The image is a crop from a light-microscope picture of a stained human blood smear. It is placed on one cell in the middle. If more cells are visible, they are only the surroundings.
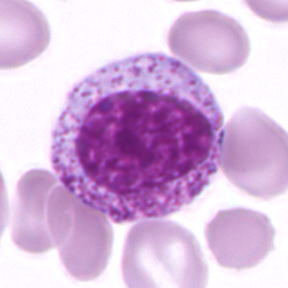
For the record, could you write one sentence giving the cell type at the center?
The cell the crop is centered on is a metamyelocyte.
